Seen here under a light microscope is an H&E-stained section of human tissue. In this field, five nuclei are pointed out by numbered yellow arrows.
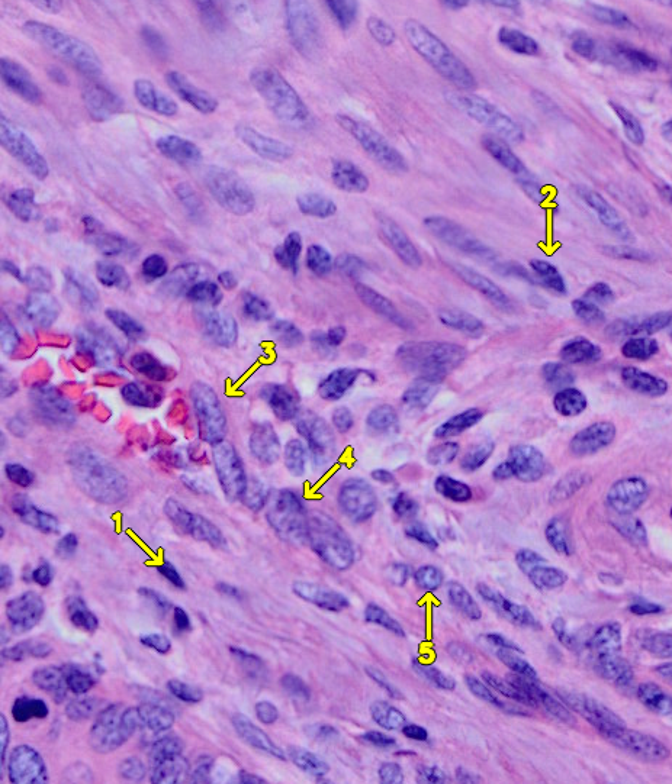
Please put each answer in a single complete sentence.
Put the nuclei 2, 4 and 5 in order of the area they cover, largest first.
Going from the biggest nucleus down to the smallest gives 4, 2, 5.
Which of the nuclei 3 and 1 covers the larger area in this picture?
The larger nucleus is 3, at roughly 3 times the area of 1.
